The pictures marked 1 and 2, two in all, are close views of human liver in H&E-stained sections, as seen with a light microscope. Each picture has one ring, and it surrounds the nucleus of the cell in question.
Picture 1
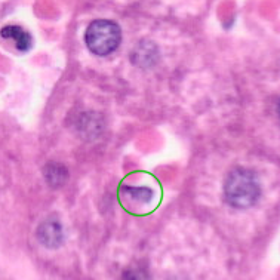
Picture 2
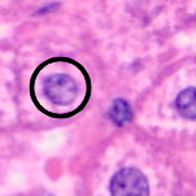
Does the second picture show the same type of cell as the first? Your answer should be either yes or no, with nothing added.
no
